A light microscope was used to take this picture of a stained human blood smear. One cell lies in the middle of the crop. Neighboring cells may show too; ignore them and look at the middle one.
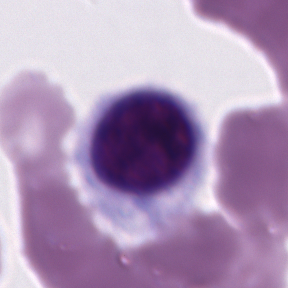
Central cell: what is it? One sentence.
This crop has a hairy cell at its centre.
